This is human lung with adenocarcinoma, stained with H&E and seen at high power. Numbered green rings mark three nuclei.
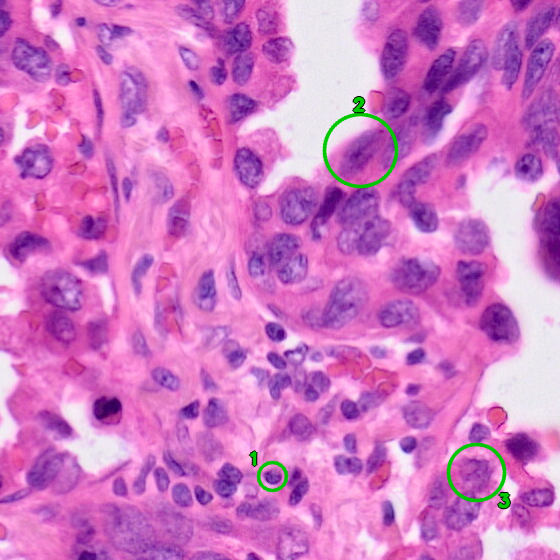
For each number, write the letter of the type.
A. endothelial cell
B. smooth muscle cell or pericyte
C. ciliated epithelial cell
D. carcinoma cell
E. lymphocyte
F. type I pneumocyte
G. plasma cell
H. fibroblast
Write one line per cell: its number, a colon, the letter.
1: E
2: D
3: D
